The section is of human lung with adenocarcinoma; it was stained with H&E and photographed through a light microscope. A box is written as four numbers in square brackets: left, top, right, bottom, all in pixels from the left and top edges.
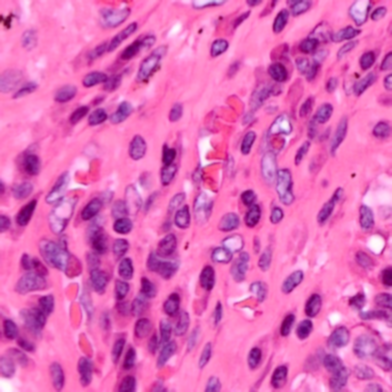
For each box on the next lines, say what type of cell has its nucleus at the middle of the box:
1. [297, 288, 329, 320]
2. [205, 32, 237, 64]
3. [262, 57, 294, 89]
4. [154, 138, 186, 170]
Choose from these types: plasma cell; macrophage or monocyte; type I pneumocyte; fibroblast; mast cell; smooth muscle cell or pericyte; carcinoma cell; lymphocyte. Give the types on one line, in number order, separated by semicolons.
plasma cell; mast cell; plasma cell; plasma cell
